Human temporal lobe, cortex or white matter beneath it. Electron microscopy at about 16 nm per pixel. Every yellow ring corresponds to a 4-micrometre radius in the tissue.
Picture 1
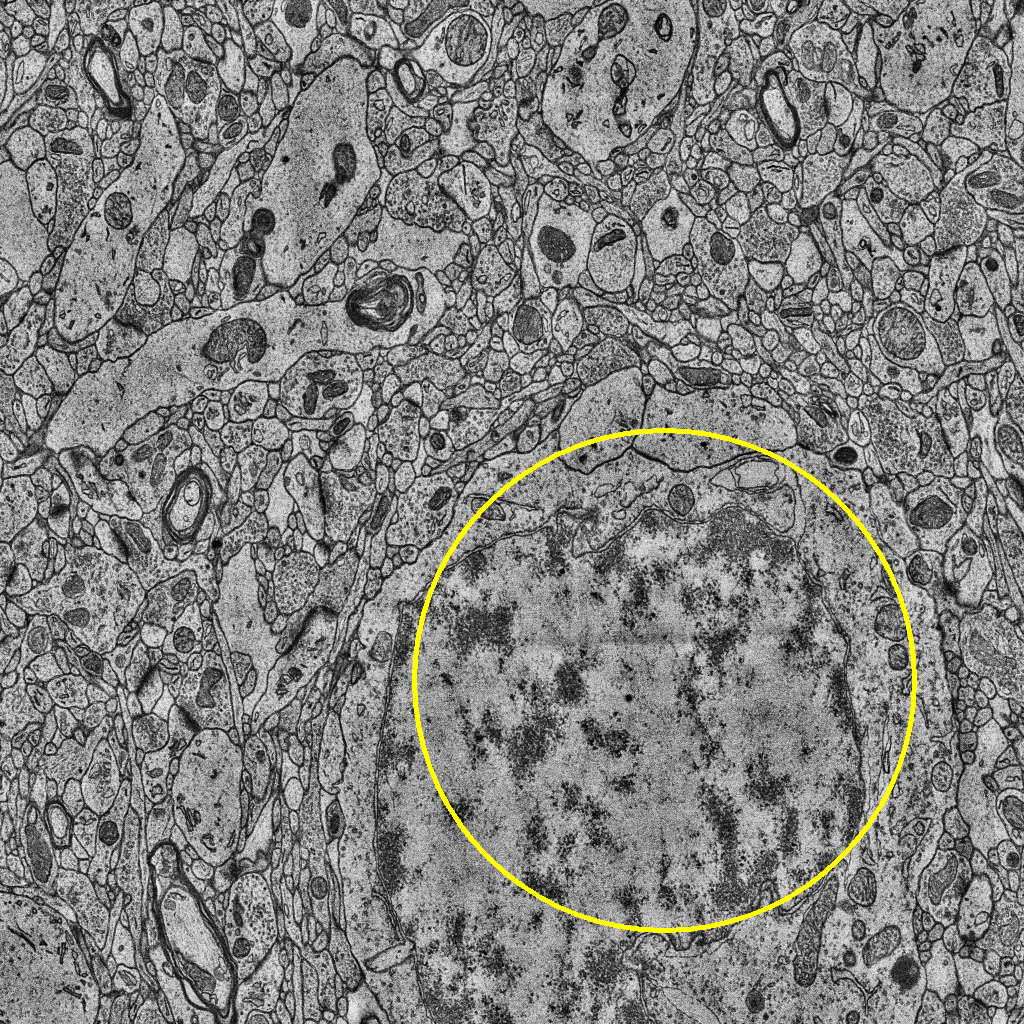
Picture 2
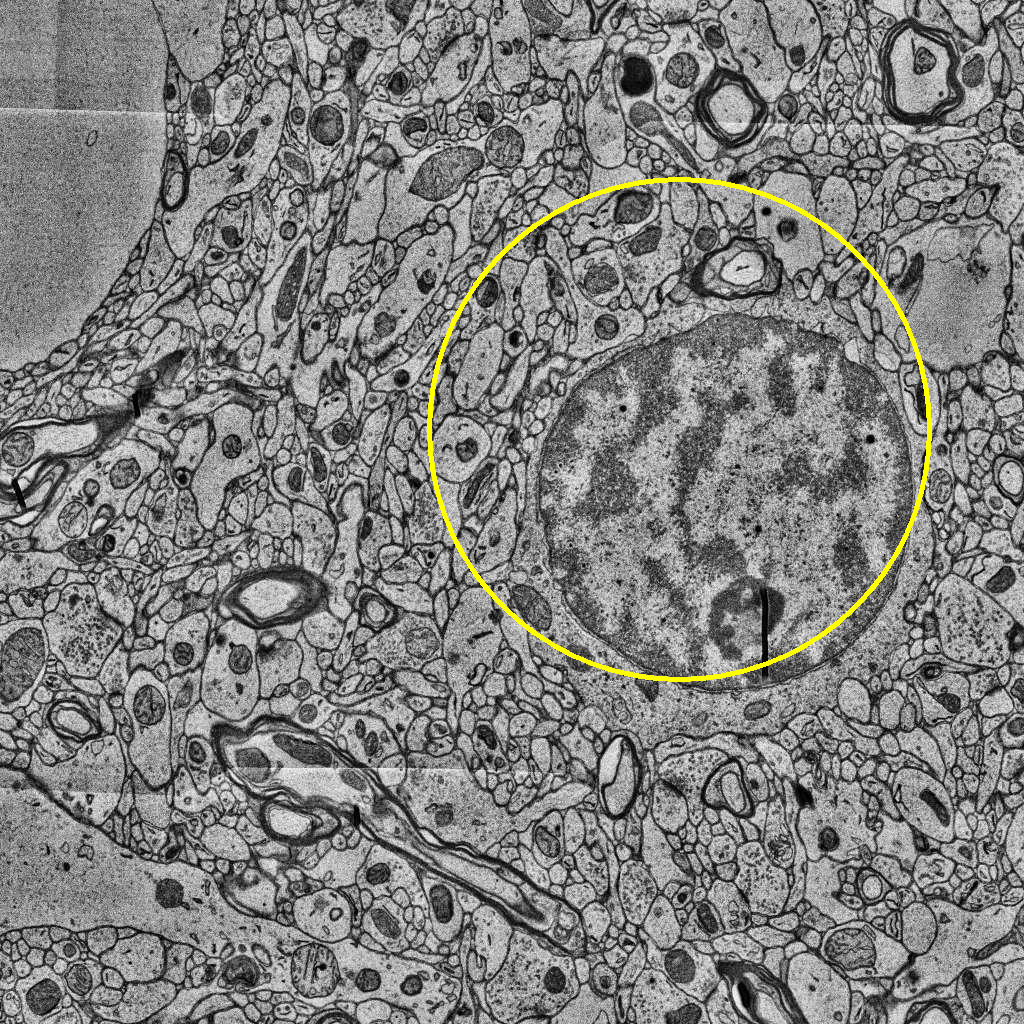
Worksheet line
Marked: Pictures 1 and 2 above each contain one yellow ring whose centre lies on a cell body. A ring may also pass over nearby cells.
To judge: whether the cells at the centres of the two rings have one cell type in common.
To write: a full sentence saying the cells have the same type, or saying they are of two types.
The cells at the centres of the rings in Picture 1 and Picture 2 are of two types.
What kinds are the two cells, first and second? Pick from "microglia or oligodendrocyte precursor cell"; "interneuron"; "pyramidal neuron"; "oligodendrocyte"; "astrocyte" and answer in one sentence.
The second cell is an oligodendrocyte, and the first cell is an interneuron.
